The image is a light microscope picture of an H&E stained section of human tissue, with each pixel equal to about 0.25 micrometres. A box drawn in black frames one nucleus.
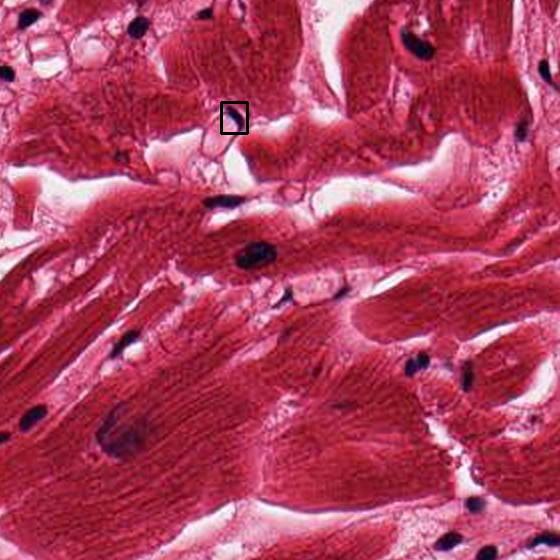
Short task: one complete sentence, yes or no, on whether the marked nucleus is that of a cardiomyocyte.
No, the marked nucleus belongs not to a cardiomyocyte but to a supporting cell of connective tissue, a vessel or the immune system.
